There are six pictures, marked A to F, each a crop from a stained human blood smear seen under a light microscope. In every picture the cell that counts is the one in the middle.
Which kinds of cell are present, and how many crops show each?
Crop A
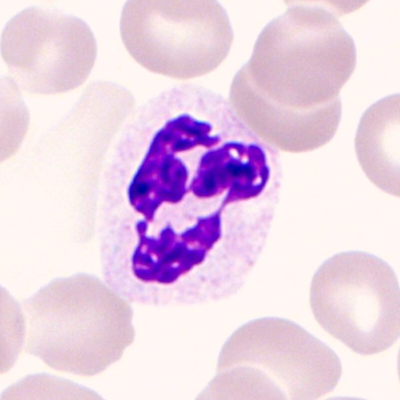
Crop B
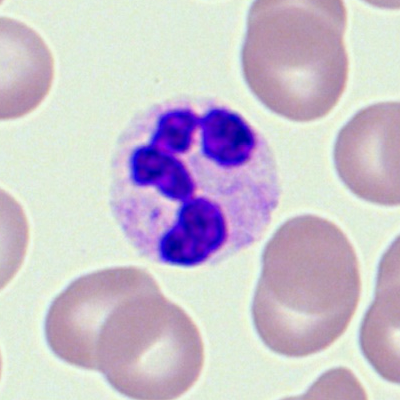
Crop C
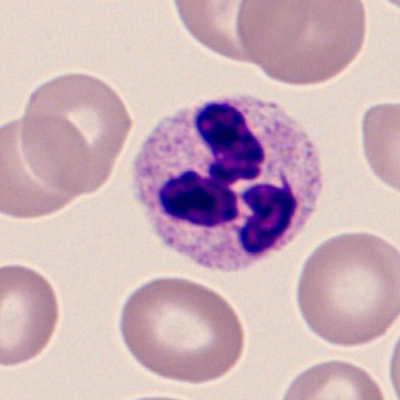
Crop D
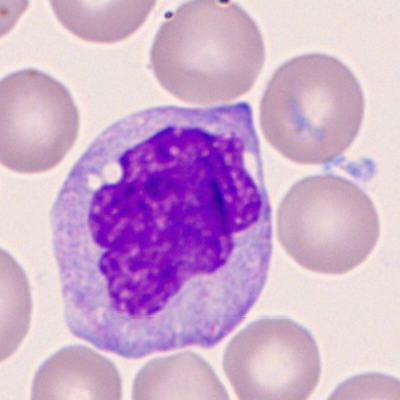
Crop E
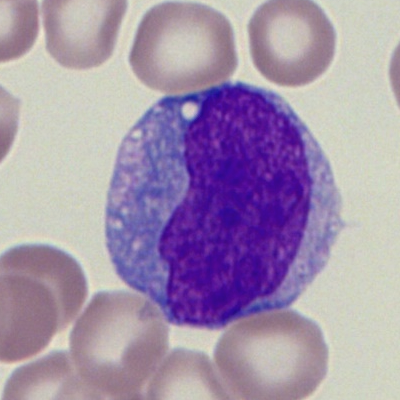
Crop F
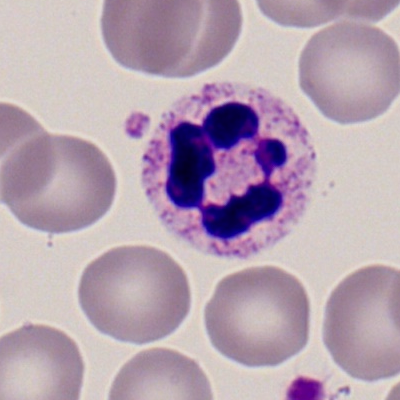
segmented neutrophil: 4
monocyte: 2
